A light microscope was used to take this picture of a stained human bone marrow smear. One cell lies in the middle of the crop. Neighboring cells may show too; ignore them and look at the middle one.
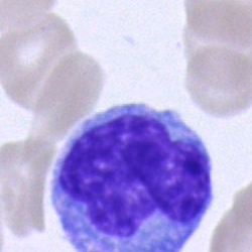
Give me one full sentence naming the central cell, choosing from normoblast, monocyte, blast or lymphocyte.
The cell at the middle of the frame should be recorded as a monocyte.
